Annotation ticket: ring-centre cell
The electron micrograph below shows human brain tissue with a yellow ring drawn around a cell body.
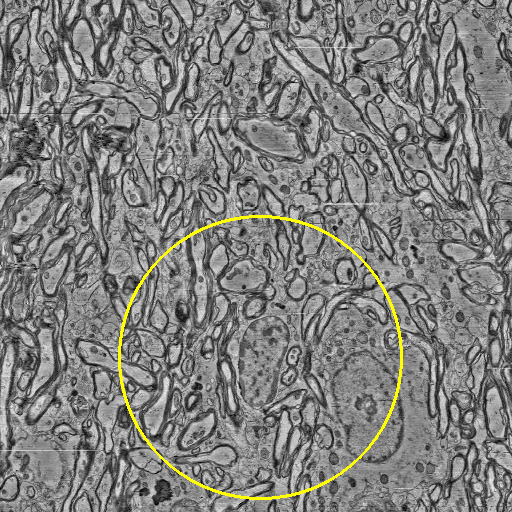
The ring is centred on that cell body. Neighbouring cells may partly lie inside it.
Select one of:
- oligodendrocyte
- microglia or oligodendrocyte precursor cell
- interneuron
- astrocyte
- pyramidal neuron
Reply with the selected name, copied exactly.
microglia or oligodendrocyte precursor cell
